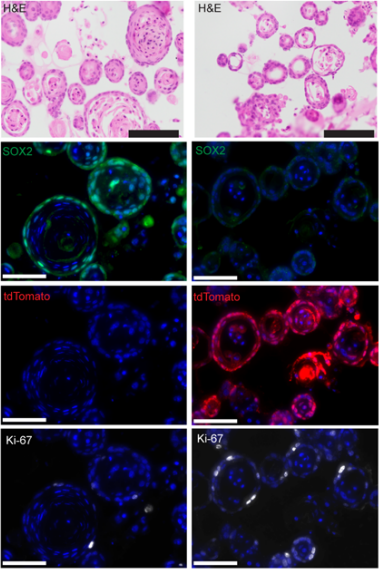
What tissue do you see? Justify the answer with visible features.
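Squamous organoids. Sections show round, cyst-like epithelial structures with a wall several cell layers thick. Some of these structures contain concentric layers of pink material in their centres in the H&E image.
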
